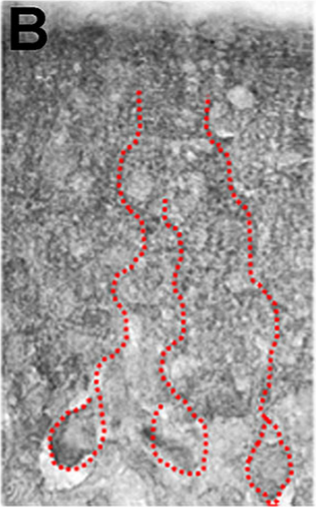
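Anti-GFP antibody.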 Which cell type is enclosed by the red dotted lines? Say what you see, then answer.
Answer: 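Each dotted outline encloses a large rounded body at the bottom. From each body a long wavy shaft runs up toward the top surface.
Conclusion: Purkinje cells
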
